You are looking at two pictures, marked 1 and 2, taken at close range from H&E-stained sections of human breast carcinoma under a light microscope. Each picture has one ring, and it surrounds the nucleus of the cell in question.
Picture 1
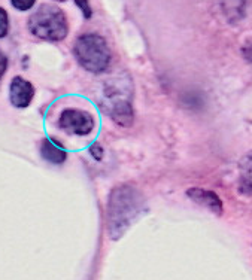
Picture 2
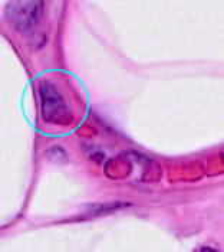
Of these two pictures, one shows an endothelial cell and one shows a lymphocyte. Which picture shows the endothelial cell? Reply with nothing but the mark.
2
